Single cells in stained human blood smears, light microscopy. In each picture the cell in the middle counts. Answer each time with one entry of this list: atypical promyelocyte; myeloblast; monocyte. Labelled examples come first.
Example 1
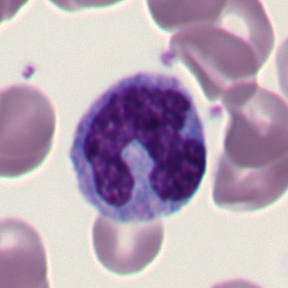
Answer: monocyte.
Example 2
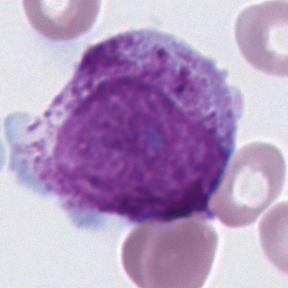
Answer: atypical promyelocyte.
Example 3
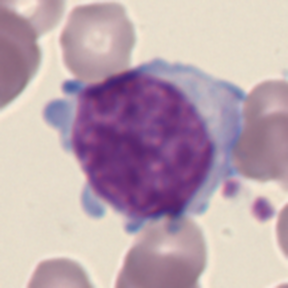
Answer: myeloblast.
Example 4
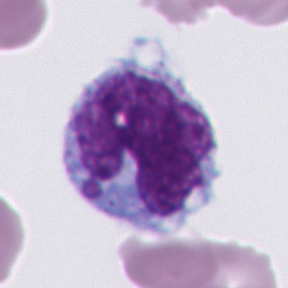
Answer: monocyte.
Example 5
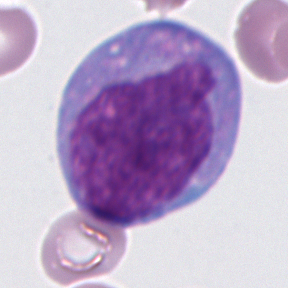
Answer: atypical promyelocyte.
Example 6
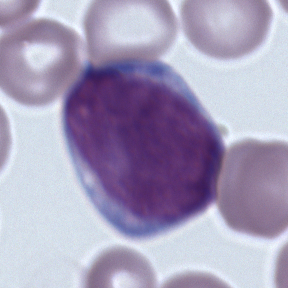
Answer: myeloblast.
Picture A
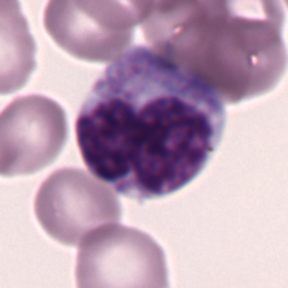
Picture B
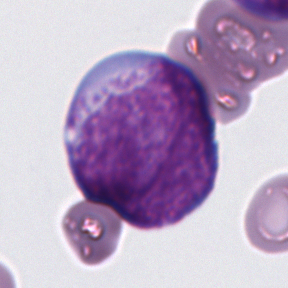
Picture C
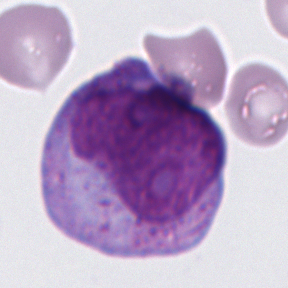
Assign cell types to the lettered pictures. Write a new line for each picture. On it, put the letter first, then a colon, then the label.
A: monocyte.
B: atypical promyelocyte.
C: atypical promyelocyte.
